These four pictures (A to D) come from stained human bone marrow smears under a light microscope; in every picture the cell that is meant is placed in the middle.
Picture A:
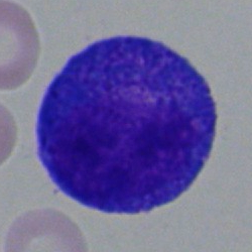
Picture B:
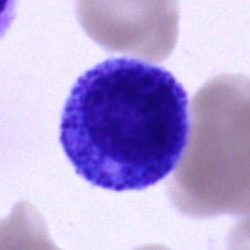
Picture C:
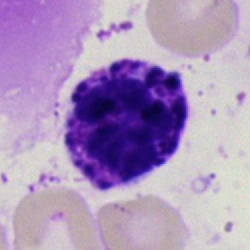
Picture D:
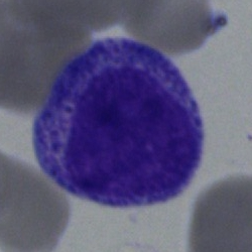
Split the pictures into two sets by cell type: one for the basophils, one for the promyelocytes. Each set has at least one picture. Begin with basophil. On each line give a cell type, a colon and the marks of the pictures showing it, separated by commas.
basophil: C
promyelocyte: A, B, D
